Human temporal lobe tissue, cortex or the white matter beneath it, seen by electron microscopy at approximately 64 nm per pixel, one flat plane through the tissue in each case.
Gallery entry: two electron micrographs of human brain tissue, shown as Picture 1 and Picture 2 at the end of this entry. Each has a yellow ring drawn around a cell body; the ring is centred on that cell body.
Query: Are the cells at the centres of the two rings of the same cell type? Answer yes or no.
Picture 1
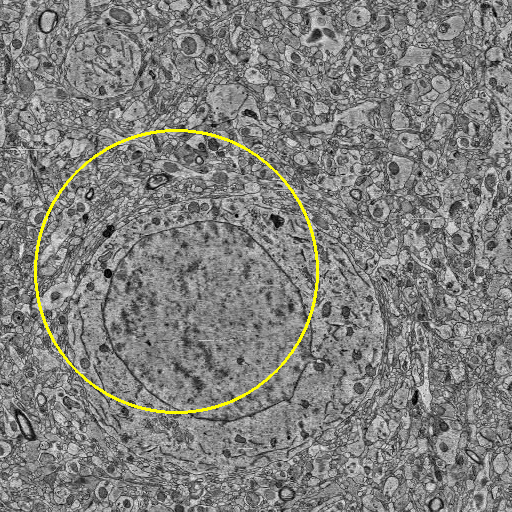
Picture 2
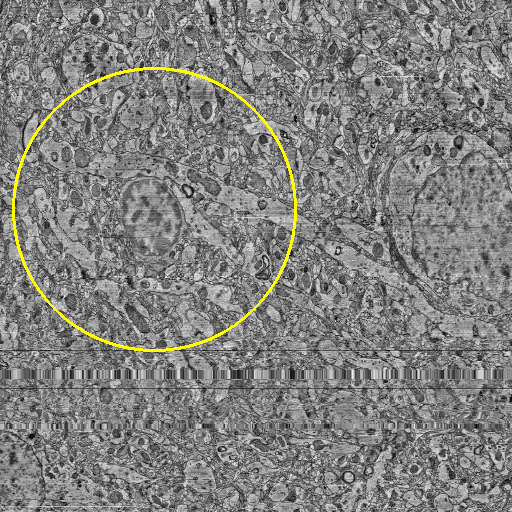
no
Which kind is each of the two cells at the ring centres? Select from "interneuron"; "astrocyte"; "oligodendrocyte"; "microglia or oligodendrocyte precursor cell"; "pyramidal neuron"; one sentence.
The cell at the centre of the ring is a pyramidal neuron in the first picture and an oligodendrocyte in the second.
